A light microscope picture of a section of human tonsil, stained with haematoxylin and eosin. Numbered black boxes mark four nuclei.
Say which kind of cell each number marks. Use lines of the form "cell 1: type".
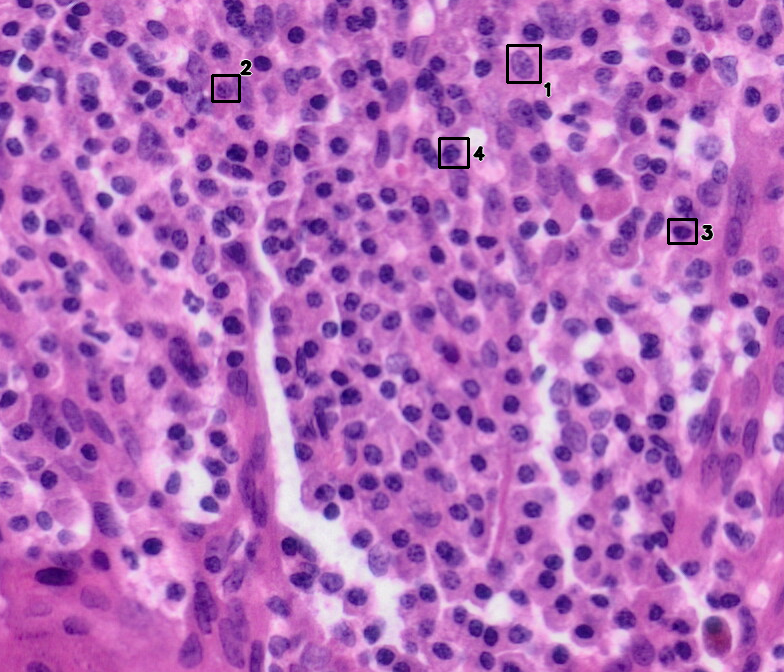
cell 1: squamous epithelial cell
cell 2: plasma cell
cell 3: plasma cell
cell 4: plasma cell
